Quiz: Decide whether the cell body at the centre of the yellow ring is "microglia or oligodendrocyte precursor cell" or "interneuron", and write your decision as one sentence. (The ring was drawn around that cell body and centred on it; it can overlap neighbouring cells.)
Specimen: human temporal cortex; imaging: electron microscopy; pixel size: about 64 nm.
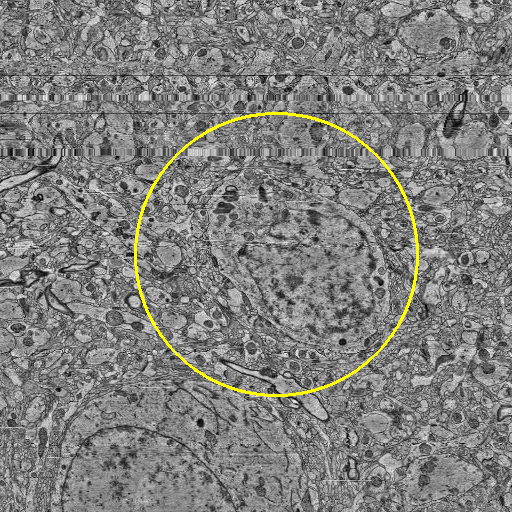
The cell the ring is centred on is an interneuron.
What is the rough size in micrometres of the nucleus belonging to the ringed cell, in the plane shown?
In this plane, the nucleus of the cell at the centre of the ring is about 9 micrometres across.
